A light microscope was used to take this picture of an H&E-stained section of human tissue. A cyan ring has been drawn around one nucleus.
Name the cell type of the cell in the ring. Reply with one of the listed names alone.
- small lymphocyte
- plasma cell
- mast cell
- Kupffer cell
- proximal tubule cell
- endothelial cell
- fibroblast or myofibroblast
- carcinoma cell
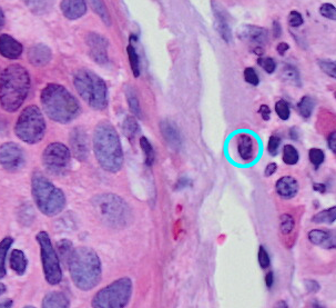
mast cell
